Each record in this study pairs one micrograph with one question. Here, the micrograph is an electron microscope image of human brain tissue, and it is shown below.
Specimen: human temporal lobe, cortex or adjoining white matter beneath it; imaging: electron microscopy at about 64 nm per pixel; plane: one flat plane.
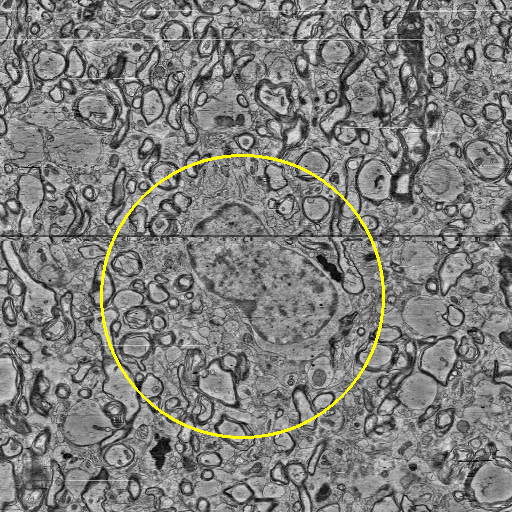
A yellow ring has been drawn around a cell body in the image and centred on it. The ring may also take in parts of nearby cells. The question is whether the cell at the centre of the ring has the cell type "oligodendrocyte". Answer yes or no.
no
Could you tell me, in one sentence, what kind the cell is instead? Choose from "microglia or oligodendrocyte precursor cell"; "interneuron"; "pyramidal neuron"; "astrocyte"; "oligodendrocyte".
Instead, the cell at the centre of the yellow ring is a microglial cell or oligodendrocyte precursor cell.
